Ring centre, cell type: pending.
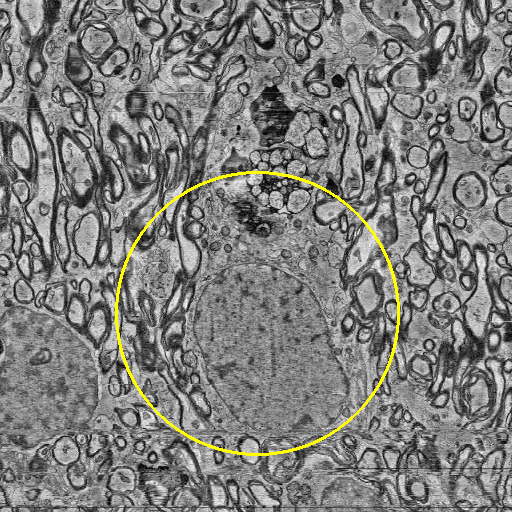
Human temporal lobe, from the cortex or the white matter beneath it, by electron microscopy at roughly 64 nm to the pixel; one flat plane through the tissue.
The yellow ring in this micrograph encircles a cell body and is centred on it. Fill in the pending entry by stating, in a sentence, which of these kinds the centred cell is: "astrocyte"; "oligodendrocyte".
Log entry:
The centred cell is recorded as an astrocyte.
